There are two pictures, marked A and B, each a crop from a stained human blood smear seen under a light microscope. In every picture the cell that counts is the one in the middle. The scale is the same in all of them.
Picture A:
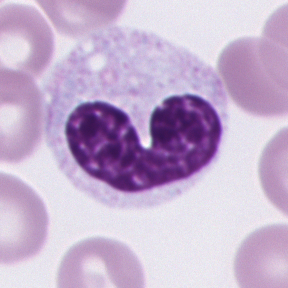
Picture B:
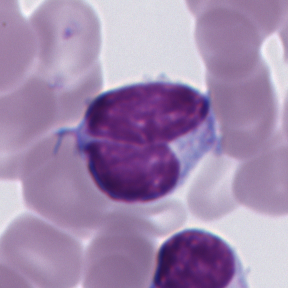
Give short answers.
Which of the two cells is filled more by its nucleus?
B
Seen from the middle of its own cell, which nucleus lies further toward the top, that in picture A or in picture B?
B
